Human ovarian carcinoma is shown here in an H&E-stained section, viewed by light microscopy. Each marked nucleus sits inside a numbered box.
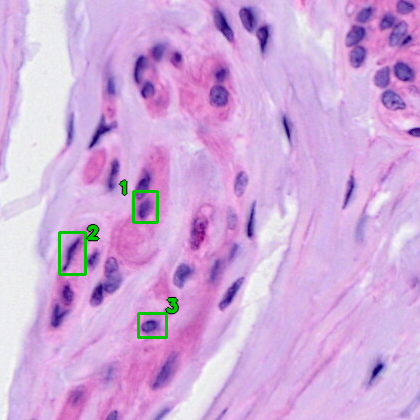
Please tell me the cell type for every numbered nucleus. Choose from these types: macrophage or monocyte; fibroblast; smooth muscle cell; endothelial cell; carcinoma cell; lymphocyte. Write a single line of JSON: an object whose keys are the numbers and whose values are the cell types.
{"1": "smooth muscle cell", "2": "endothelial cell", "3": "smooth muscle cell"}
